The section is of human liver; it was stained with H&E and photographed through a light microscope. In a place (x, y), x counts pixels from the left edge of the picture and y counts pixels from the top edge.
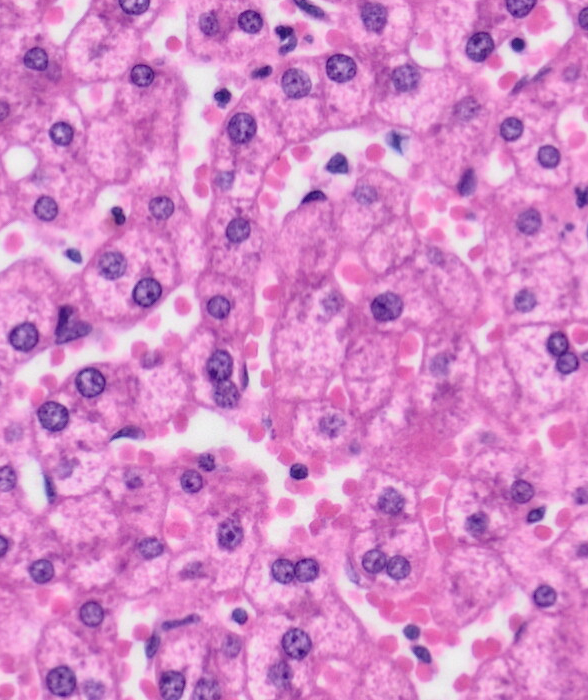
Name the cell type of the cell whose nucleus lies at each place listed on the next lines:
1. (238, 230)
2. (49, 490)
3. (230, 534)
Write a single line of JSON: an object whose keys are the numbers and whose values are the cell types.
{"1": "hepatocyte", "2": "endothelial cell", "3": "hepatocyte"}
